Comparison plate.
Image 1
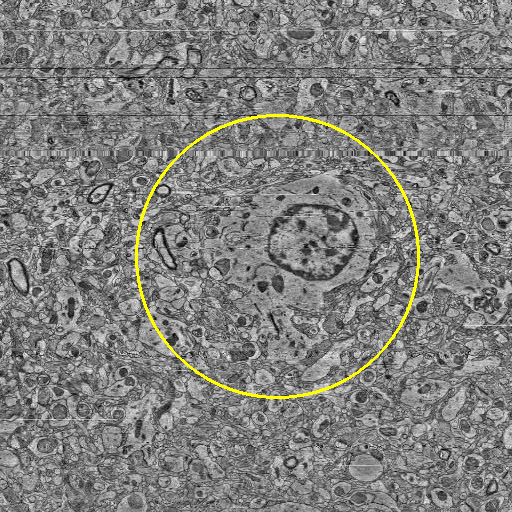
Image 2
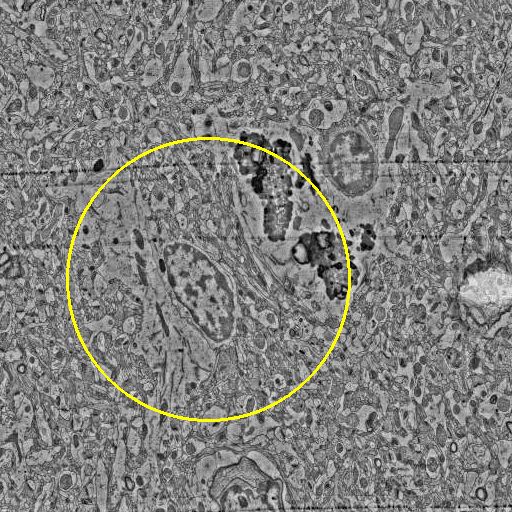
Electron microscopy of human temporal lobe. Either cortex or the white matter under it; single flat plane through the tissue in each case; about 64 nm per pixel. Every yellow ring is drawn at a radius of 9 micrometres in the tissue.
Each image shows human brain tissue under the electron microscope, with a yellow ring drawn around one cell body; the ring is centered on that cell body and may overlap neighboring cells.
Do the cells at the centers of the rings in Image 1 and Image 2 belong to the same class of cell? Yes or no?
no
